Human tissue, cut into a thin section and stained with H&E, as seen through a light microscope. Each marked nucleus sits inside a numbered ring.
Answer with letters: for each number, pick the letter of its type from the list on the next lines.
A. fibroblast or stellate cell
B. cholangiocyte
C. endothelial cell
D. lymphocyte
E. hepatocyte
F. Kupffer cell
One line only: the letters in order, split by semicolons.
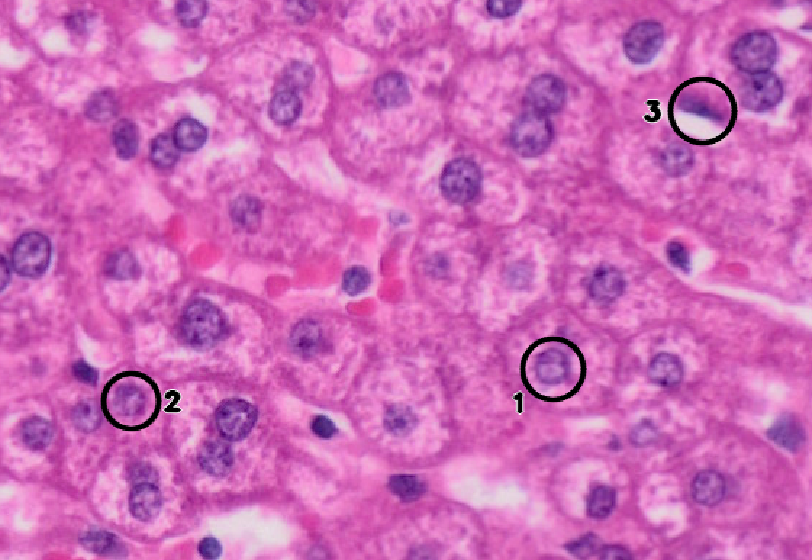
E; E; F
